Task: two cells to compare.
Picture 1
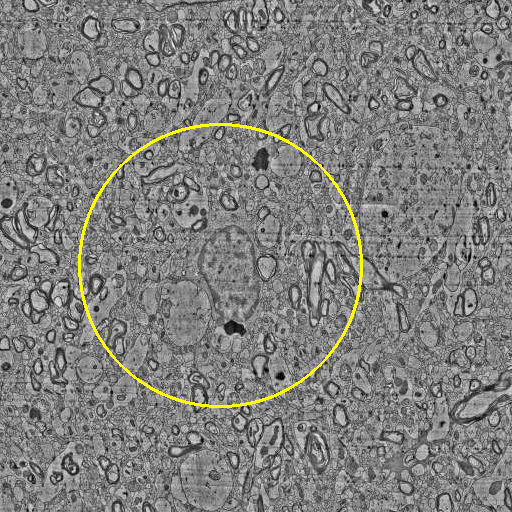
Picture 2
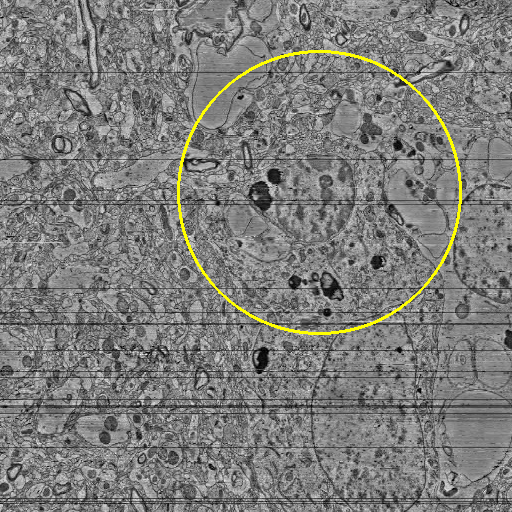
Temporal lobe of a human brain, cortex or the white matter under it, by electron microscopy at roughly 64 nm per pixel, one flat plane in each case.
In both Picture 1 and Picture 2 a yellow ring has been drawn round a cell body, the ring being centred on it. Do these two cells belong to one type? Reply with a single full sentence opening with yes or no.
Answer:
Yes, the two cells at the ring centres in Picture 1 and Picture 2 share one type.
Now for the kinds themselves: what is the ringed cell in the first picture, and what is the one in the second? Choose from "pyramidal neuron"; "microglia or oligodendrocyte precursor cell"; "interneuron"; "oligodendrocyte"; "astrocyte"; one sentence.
The first and the second cell are each an oligodendrocyte.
